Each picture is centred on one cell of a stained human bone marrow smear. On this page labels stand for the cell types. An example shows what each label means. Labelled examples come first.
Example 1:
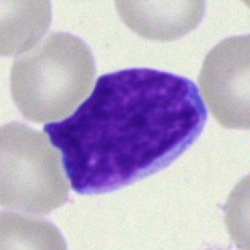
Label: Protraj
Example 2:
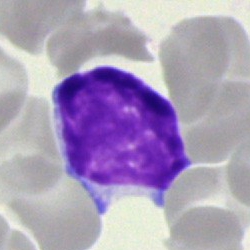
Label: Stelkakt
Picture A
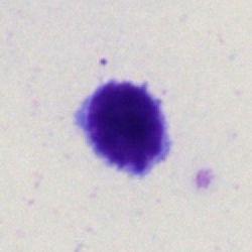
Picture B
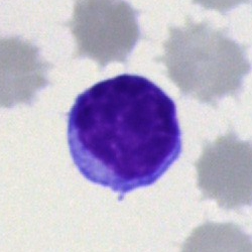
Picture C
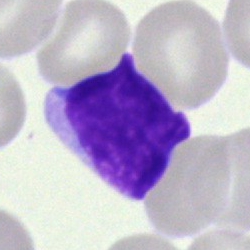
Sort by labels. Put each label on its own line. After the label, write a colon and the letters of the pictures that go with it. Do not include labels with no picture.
Protraj: C
Stelkakt: A, B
